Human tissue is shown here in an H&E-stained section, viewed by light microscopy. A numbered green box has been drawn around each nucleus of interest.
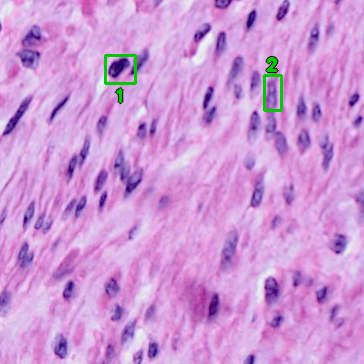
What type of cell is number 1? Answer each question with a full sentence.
In this section, the cell tagged 1 is a lymphocyte.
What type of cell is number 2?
The cell bearing label 2 corresponds to a smooth muscle cell.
